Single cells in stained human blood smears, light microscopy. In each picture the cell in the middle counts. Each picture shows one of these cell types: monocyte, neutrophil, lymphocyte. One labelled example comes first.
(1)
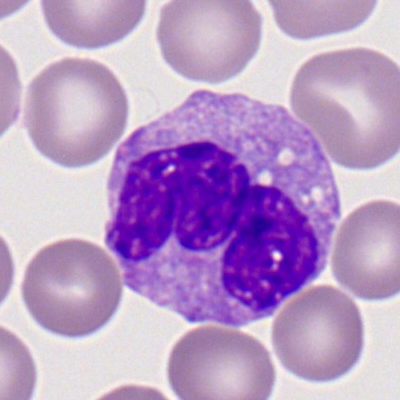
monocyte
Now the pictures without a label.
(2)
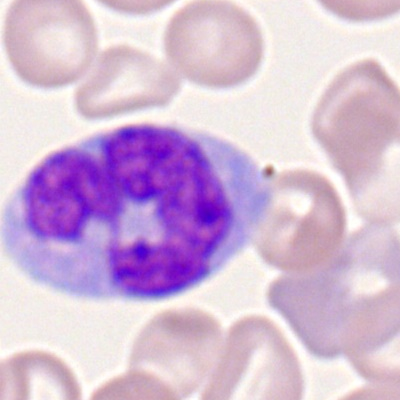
monocyte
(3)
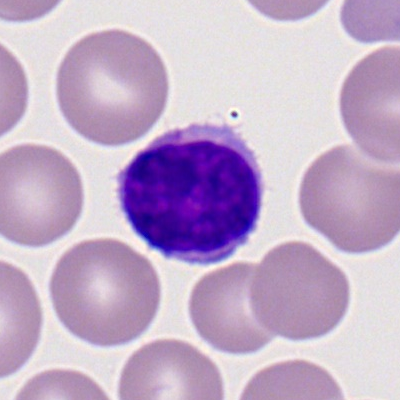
lymphocyte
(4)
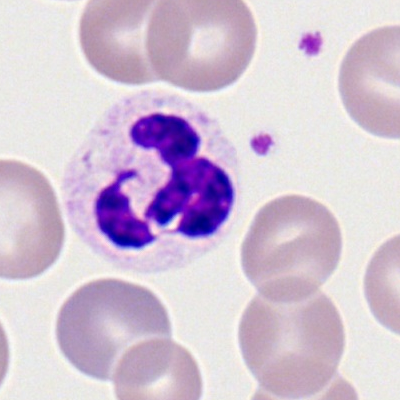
neutrophil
